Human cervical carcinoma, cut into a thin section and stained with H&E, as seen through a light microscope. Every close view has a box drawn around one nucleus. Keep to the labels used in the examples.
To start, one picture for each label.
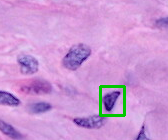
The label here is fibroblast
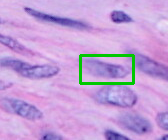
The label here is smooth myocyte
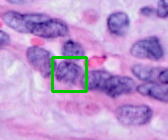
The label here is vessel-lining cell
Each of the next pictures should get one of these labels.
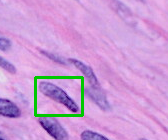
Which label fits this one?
fibroblast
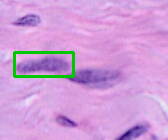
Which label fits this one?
fibroblast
